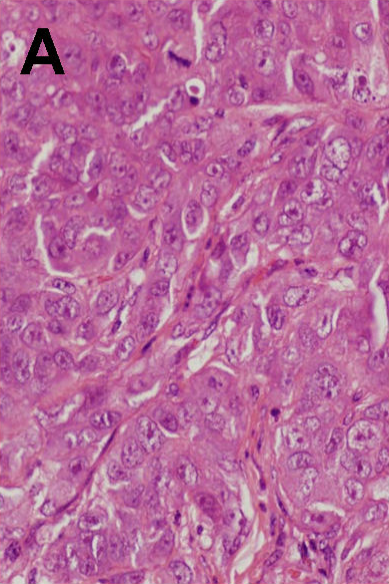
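This hepatocellular carcinoma grows as a compact mass of large polygonal tumor cells with ample pink cytoplasm. Their nuclei are big and round to oval with vesicular chromatin and visible nucleoli. Thin slit-like spaces and delicate fibrous strands run between groups of cells, forming a sinusoid-like pattern in the stroma.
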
